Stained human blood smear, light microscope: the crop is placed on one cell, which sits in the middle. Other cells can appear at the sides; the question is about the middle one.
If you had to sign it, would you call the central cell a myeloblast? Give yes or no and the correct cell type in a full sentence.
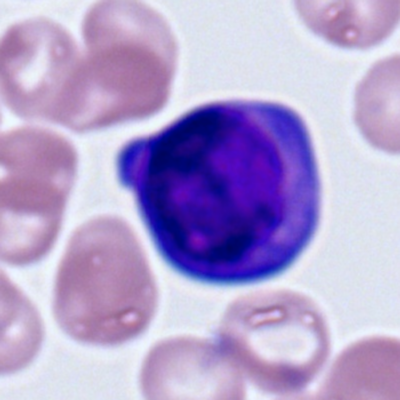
Yes, the cell shown at the crop's centre is a myeloblast.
